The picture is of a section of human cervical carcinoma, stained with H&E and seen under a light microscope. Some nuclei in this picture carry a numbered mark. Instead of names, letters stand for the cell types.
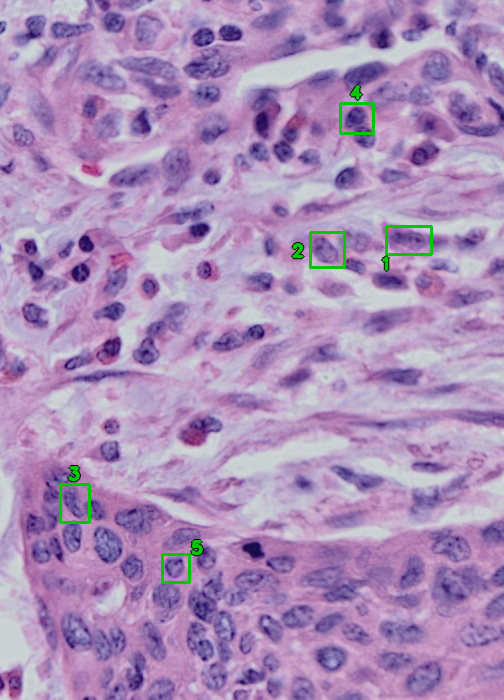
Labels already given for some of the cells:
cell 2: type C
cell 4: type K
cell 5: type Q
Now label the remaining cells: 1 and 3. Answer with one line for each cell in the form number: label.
1: type C
3: type Q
